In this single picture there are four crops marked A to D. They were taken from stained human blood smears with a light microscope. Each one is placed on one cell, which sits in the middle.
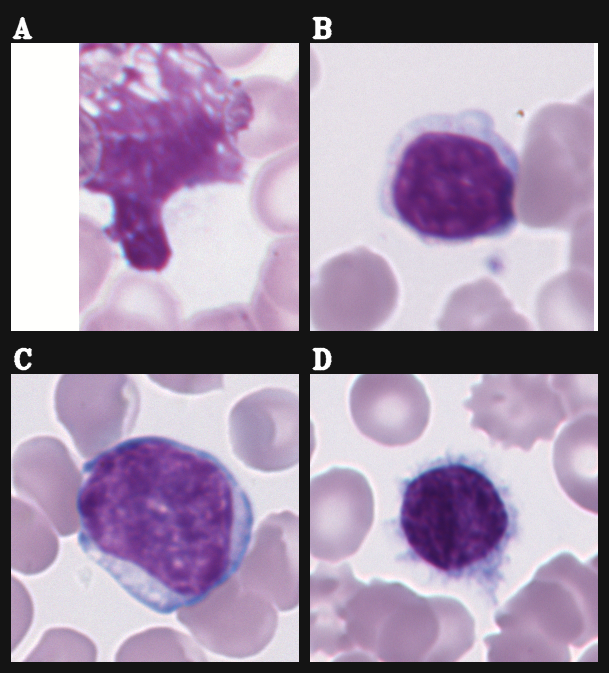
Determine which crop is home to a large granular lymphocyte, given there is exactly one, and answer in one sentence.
Identified crop: B, the one that shows a large granular lymphocyte.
